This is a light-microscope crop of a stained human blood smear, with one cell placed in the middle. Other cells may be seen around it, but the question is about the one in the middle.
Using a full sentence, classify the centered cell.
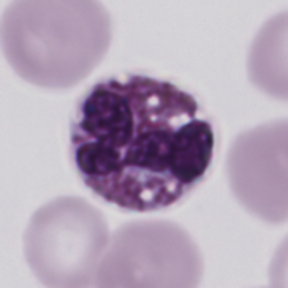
For this crop, the cell in the middle is an eosinophil.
